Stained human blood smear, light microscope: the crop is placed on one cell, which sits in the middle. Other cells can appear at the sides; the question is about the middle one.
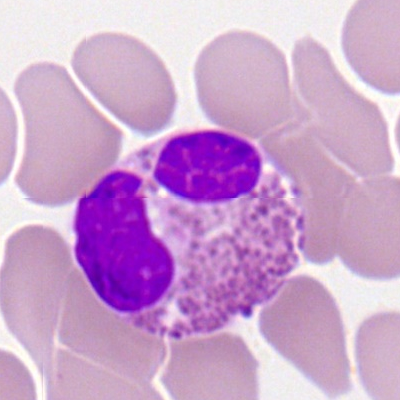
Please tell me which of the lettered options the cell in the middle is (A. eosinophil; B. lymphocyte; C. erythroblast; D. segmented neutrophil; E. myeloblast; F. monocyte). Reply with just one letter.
A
